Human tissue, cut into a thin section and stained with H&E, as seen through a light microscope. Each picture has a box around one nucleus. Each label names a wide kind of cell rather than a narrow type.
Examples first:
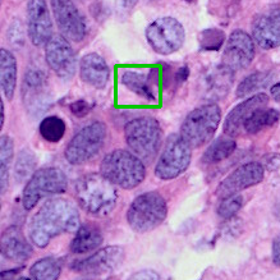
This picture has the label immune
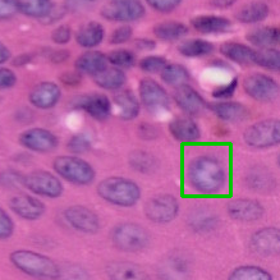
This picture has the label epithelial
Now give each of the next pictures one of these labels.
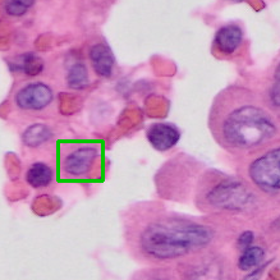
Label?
immune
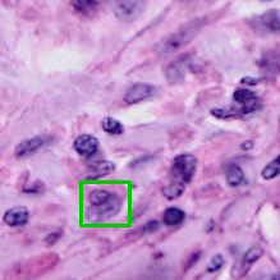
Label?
immune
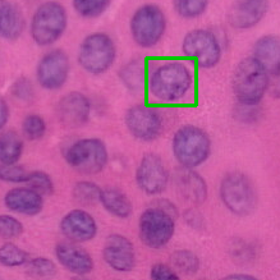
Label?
epithelial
